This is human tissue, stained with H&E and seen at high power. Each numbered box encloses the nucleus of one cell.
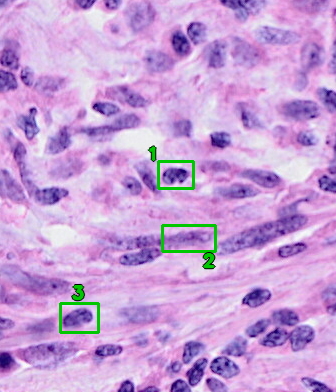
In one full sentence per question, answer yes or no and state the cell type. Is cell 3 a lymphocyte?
Yes, it is a lymphocyte that number 3 identifies.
